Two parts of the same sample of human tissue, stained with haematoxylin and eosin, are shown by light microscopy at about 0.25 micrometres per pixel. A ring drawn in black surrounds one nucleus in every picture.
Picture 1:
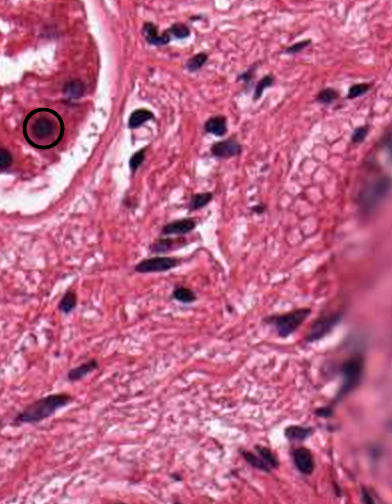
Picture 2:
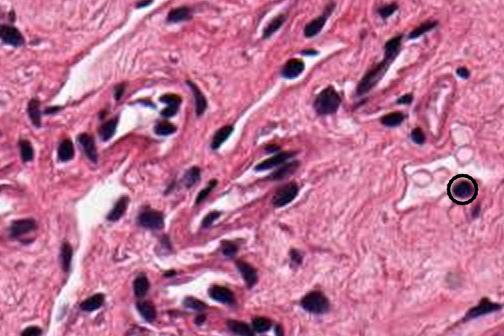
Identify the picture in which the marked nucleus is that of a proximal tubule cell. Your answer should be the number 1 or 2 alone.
1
